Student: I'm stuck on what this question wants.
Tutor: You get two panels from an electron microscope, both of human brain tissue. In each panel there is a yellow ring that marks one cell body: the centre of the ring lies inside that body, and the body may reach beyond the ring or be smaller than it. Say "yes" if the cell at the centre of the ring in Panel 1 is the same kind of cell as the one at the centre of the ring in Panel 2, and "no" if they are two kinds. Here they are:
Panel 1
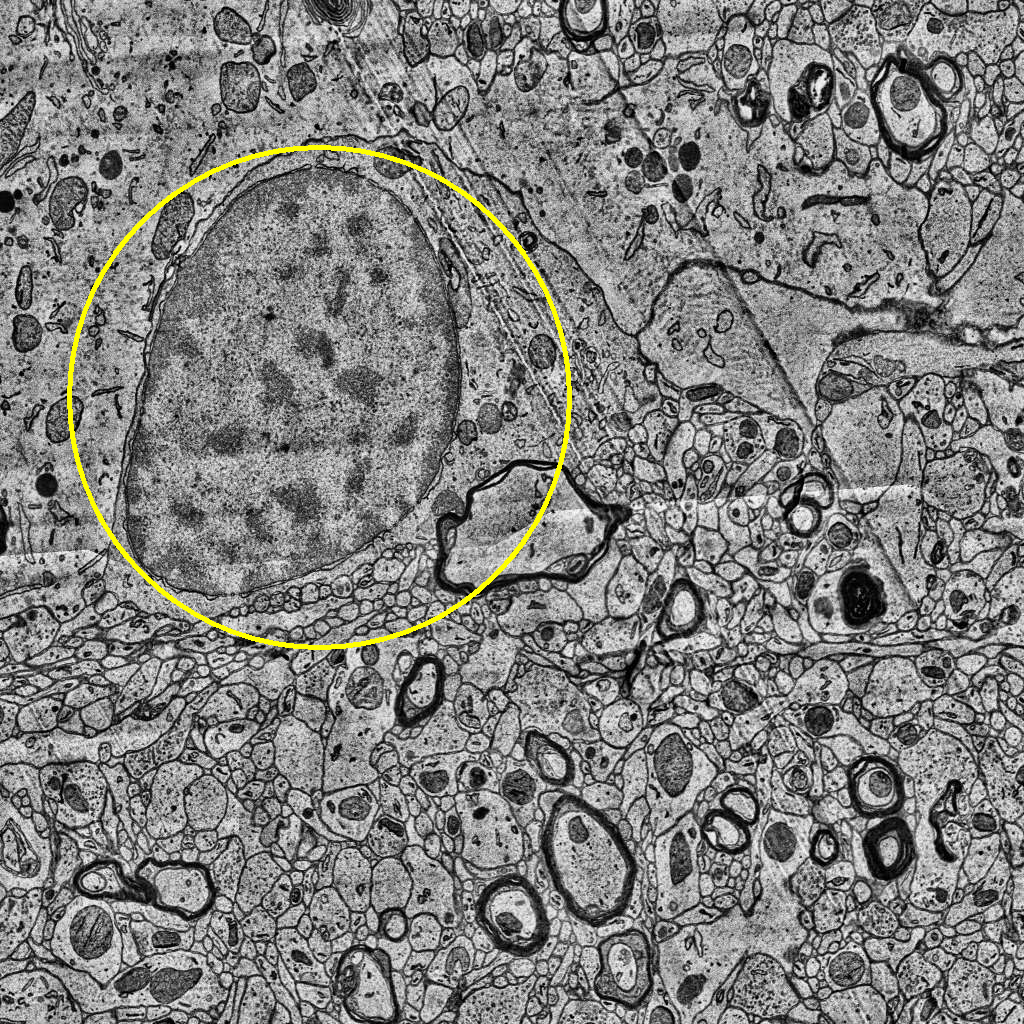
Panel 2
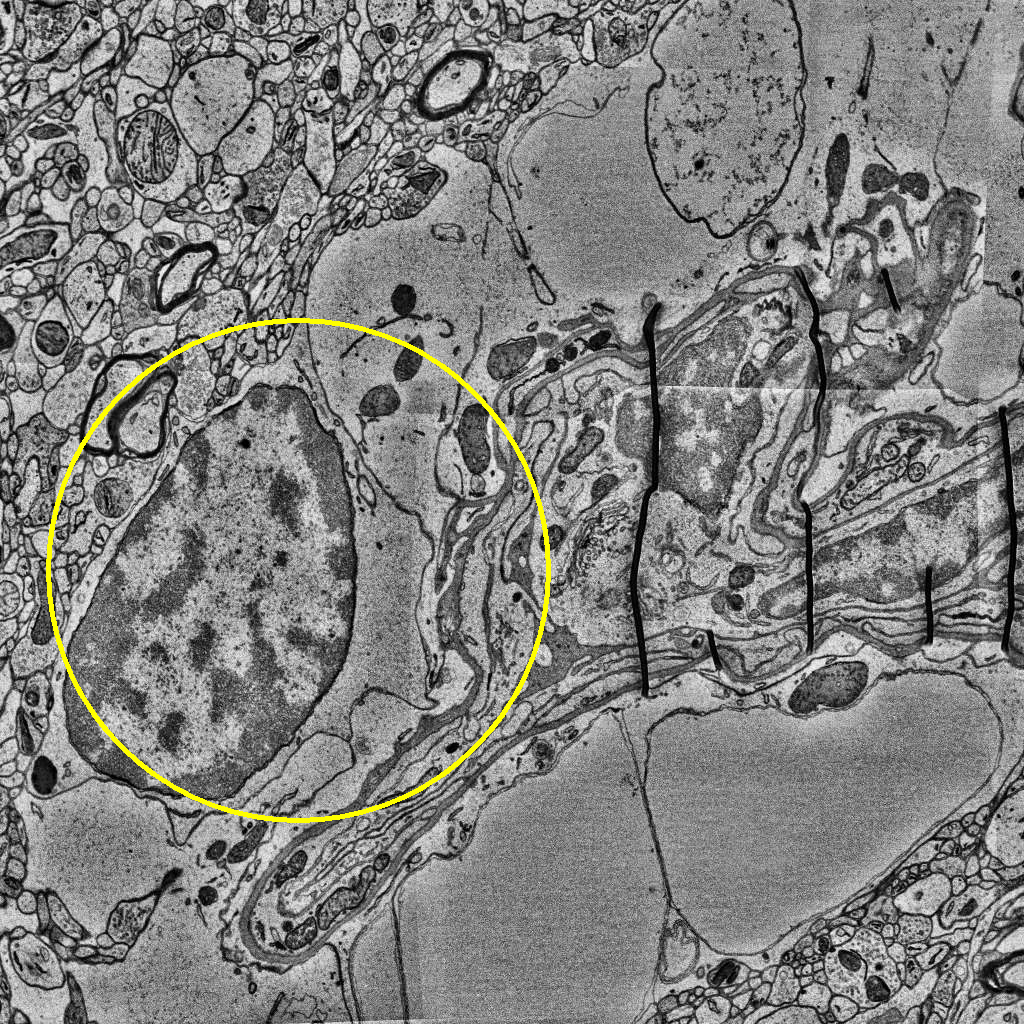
no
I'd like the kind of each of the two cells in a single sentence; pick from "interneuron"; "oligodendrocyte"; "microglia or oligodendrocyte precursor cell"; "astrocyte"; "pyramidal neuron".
The two differ: the first cell is an oligodendrocyte and the second is a microglial cell or oligodendrocyte precursor cell.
